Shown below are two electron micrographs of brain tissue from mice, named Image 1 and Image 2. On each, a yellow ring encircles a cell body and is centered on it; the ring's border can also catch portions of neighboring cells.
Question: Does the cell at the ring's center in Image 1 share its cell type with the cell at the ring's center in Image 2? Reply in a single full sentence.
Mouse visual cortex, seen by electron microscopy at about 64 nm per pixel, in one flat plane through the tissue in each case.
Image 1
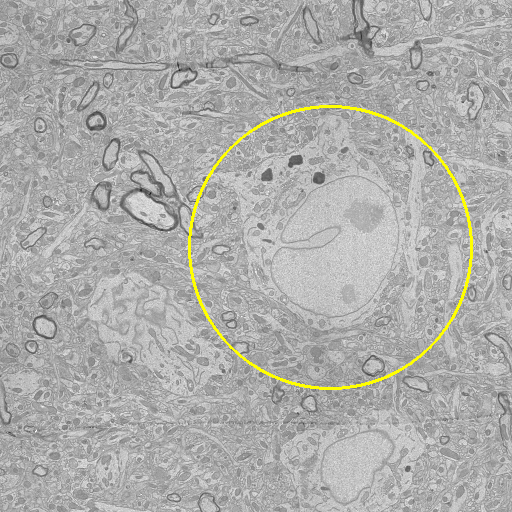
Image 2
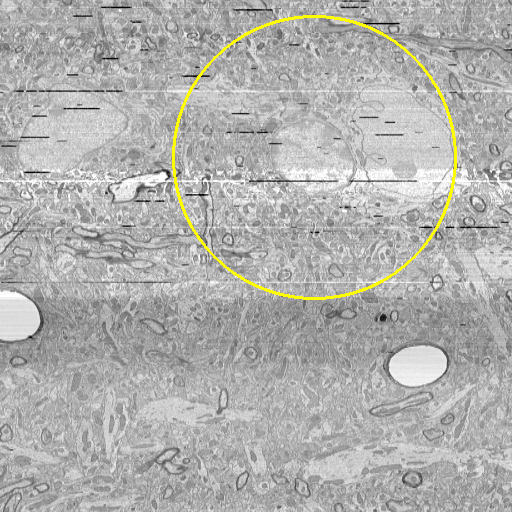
No, the two cells at the ring centers, in Image 1 and Image 2, are of two cell types.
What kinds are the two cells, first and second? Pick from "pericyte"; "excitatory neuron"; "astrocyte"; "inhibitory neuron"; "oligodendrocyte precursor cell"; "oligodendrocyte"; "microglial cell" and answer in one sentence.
The second picture holds an oligodendrocyte in its ring, and the first holds an excitatory neuron.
